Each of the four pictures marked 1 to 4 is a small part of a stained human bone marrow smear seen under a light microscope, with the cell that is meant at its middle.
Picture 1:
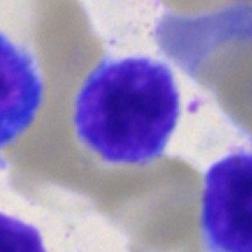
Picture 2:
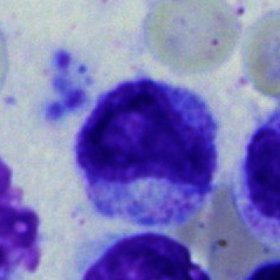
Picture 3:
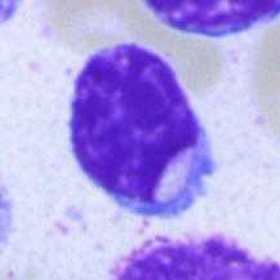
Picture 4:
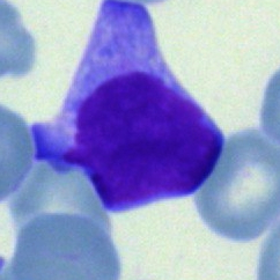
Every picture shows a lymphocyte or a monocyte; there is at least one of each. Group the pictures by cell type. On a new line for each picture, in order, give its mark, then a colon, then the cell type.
1: lymphocyte
2: monocyte
3: lymphocyte
4: lymphocyte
